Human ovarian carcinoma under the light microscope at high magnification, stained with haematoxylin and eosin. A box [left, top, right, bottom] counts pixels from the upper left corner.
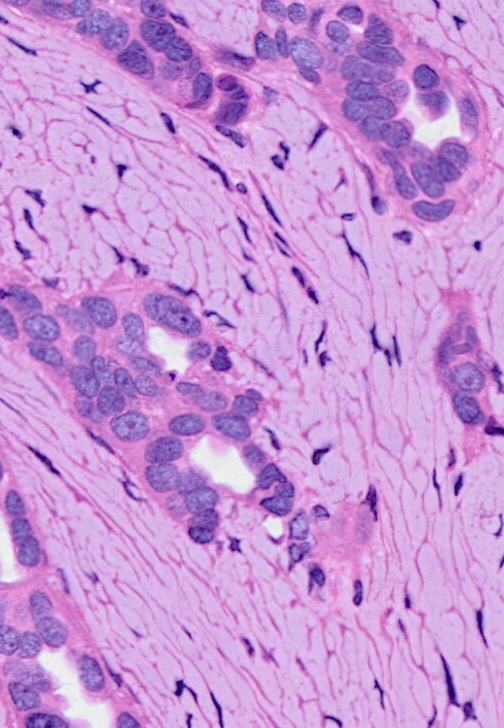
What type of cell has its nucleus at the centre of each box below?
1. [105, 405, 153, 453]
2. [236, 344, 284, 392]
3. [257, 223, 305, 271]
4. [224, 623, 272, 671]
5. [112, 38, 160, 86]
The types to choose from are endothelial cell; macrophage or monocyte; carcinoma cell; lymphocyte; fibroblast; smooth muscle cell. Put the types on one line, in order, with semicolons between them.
carcinoma cell; fibroblast; fibroblast; fibroblast; carcinoma cell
